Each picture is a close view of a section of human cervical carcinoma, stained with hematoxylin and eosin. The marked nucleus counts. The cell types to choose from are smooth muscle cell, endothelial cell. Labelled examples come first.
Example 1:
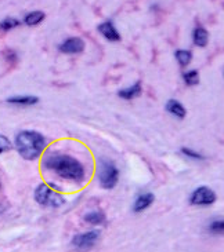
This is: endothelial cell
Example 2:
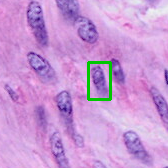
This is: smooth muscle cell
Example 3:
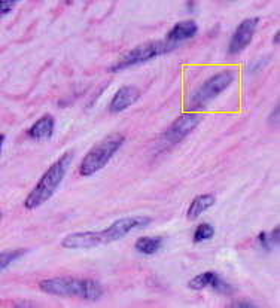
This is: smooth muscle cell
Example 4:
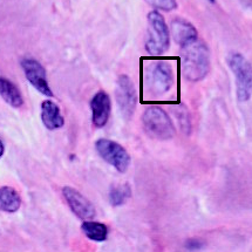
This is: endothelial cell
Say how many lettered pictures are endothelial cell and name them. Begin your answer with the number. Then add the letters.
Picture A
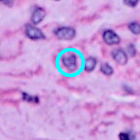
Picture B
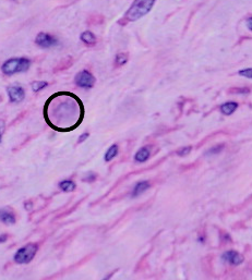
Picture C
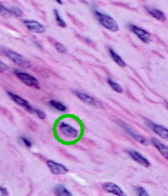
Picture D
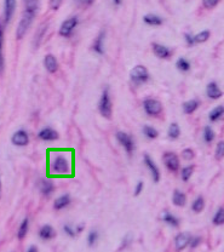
0, none of them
